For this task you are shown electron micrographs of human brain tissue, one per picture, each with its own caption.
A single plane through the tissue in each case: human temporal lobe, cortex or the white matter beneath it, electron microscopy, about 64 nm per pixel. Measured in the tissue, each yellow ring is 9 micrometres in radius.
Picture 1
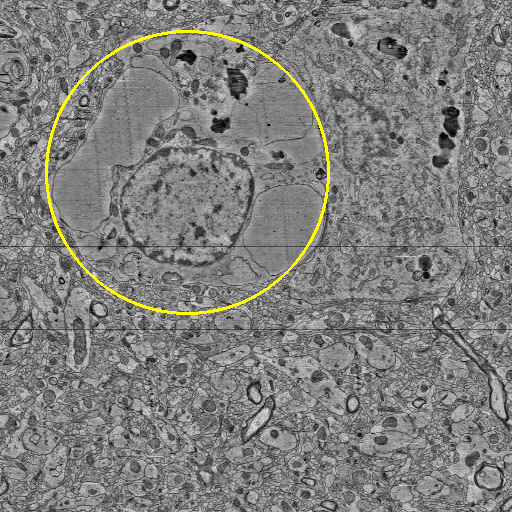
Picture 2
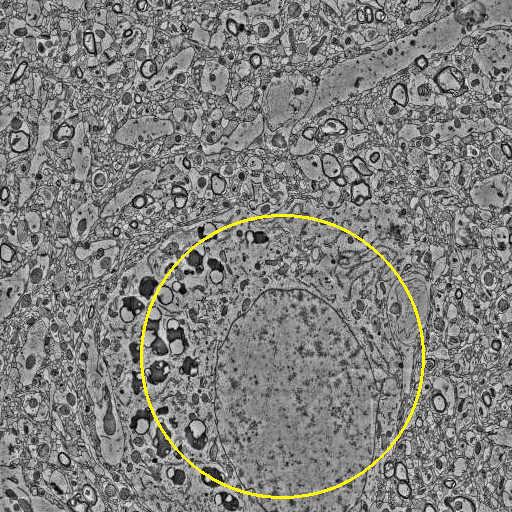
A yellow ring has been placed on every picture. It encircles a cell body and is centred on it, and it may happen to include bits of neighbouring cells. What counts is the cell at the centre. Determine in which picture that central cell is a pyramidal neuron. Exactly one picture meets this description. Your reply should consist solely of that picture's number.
2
